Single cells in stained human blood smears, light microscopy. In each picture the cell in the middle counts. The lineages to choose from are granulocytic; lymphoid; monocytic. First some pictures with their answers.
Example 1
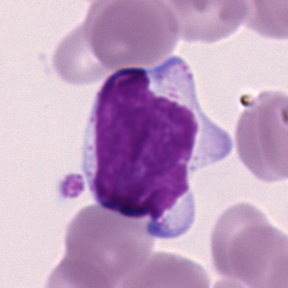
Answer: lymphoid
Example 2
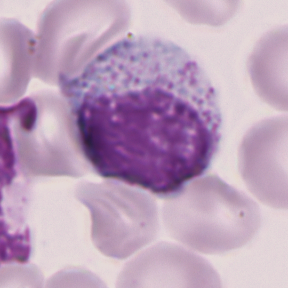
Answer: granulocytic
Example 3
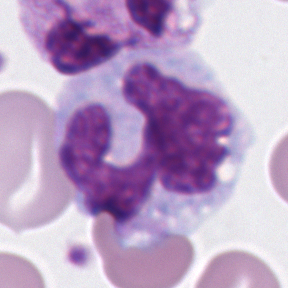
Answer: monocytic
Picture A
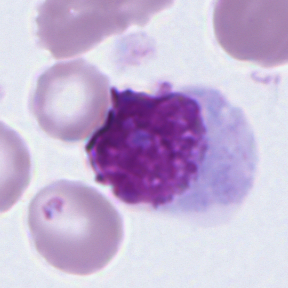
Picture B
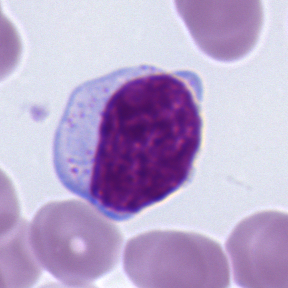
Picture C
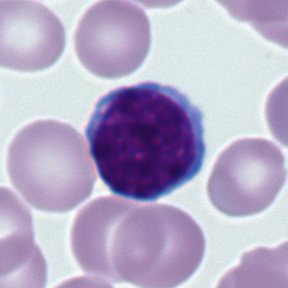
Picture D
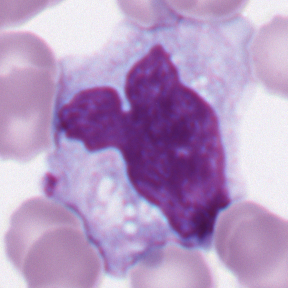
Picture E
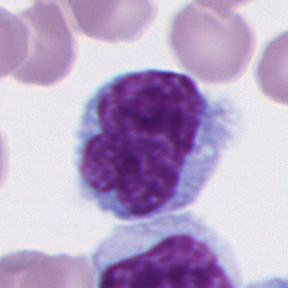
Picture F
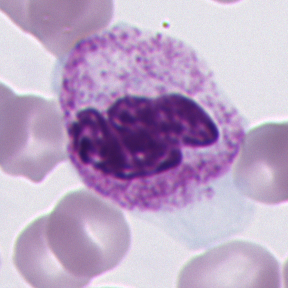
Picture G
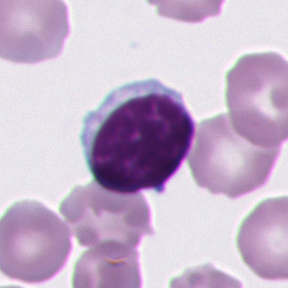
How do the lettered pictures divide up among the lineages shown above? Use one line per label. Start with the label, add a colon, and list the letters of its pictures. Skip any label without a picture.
granulocytic: F
lymphoid: A, B, C, G
monocytic: D, E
